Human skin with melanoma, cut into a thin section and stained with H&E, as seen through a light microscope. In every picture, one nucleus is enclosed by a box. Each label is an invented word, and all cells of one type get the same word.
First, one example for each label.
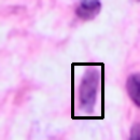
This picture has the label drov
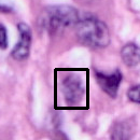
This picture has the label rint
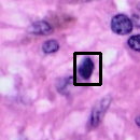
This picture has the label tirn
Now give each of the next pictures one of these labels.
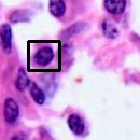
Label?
tirn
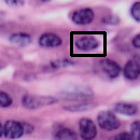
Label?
tirn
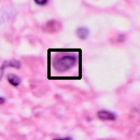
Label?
drov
